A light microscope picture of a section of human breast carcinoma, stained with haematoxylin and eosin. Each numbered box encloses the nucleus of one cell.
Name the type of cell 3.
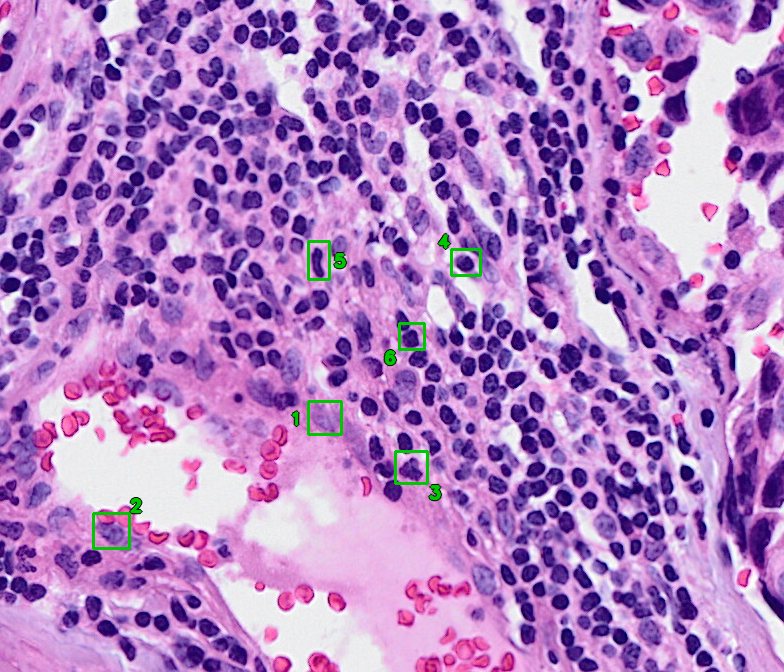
lymphocyte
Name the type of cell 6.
lymphocyte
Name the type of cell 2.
endothelial cell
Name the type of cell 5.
lymphocyte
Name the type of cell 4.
lymphocyte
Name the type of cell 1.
endothelial cell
